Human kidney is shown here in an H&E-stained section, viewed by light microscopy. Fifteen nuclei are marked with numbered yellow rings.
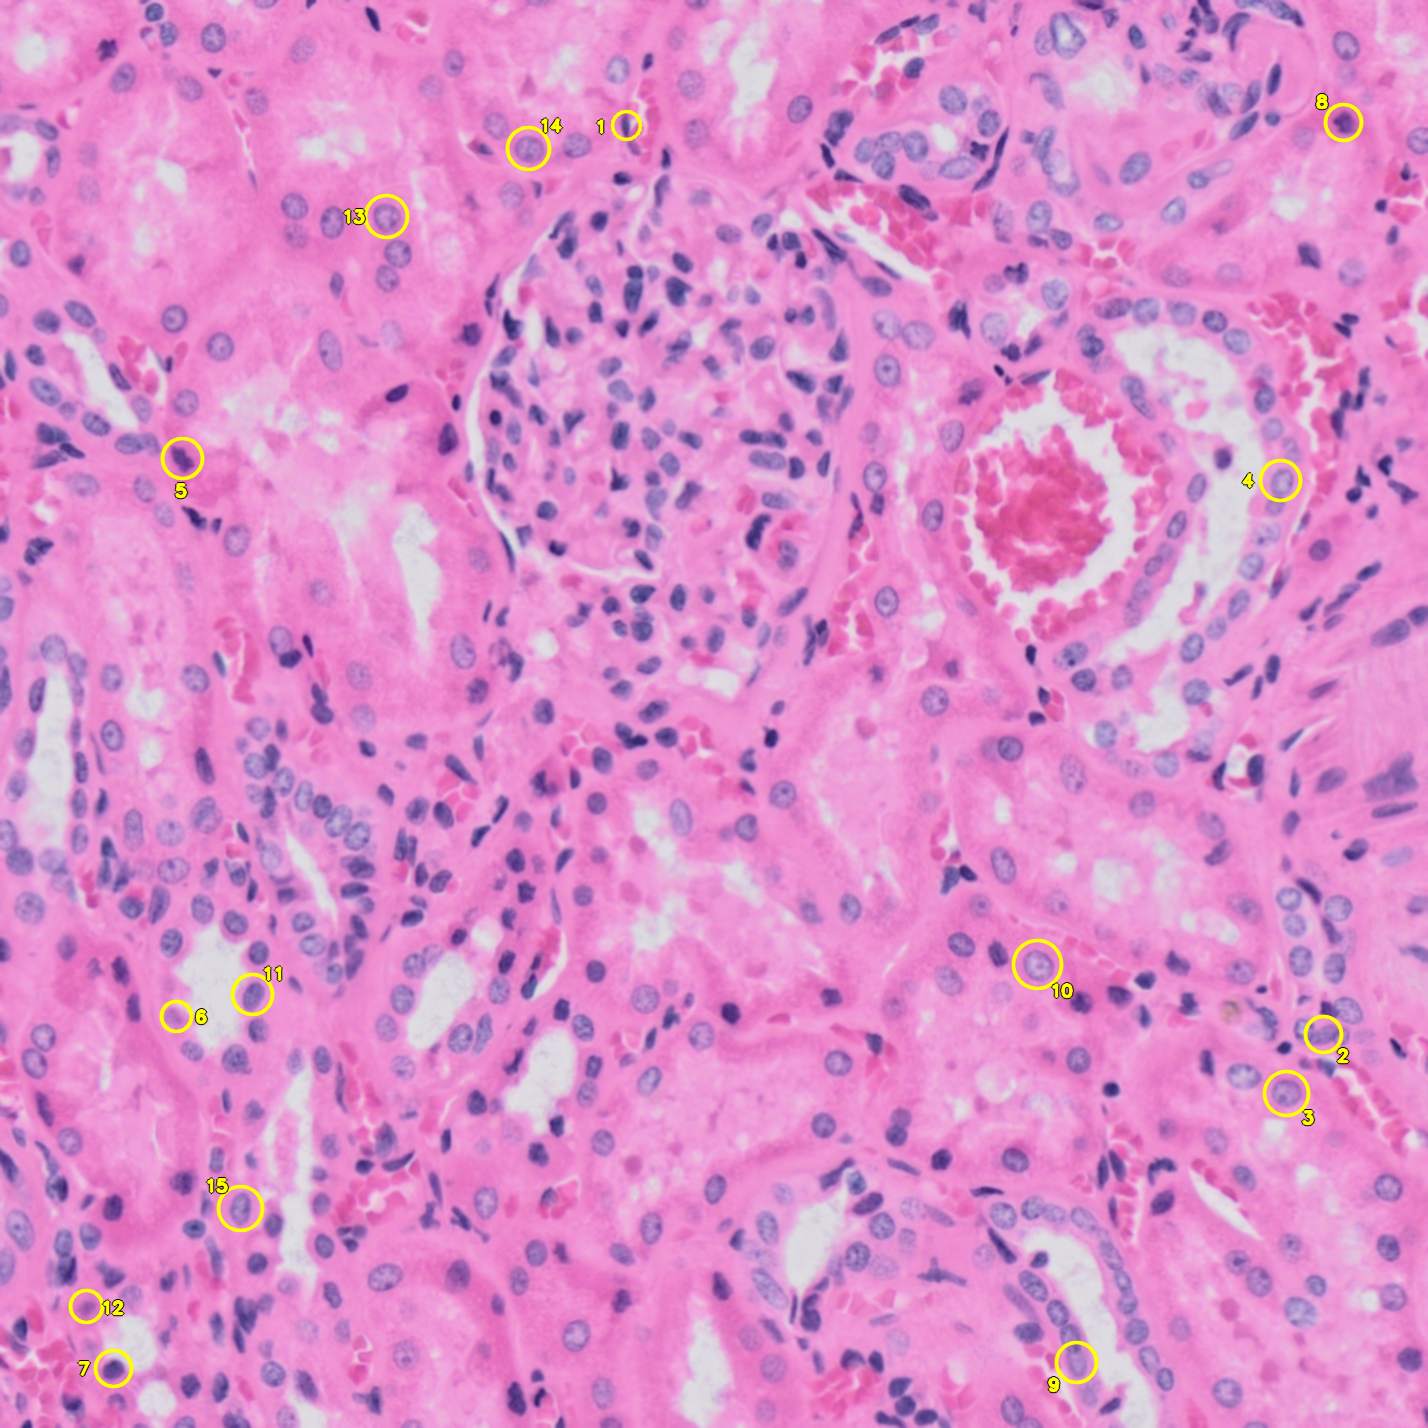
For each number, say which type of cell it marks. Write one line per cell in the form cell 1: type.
cell 1: endothelial cell
cell 2: collecting duct cell
cell 3: proximal tubule cell
cell 4: collecting duct cell
cell 5: proximal tubule cell
cell 6: loop of Henle or distal tubule cell
cell 7: loop of Henle or distal tubule cell
cell 8: proximal tubule cell
cell 9: collecting duct cell
cell 10: proximal tubule cell
cell 11: loop of Henle or distal tubule cell
cell 12: loop of Henle or distal tubule cell
cell 13: proximal tubule cell
cell 14: proximal tubule cell
cell 15: loop of Henle or distal tubule cell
